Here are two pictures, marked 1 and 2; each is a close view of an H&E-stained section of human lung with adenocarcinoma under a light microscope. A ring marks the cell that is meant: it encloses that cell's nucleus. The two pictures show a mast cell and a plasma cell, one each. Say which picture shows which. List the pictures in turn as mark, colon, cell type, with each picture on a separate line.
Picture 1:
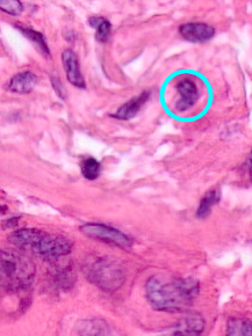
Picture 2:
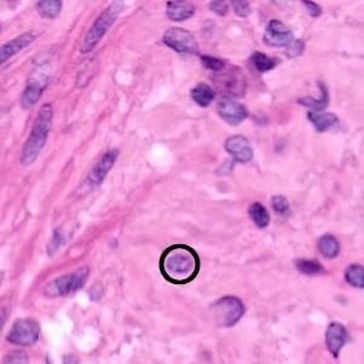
1: plasma cell
2: mast cell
